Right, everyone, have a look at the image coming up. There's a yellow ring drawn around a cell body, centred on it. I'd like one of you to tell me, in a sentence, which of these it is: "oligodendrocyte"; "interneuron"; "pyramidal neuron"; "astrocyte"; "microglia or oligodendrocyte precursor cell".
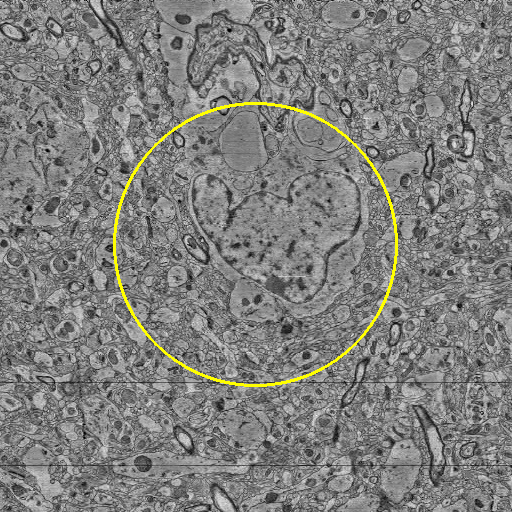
The yellow ring sits on a microglial cell or oligodendrocyte precursor cell.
